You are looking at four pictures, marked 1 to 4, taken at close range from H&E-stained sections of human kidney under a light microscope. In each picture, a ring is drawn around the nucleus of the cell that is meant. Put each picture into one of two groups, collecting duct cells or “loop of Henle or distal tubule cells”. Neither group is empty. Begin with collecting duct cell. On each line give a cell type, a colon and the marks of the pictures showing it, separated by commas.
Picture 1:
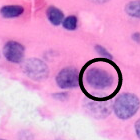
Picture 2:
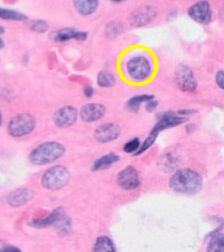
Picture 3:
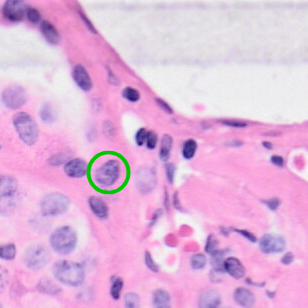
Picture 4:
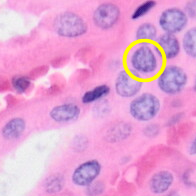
collecting duct cell: 1, 3, 4
loop of Henle or distal tubule cell: 2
